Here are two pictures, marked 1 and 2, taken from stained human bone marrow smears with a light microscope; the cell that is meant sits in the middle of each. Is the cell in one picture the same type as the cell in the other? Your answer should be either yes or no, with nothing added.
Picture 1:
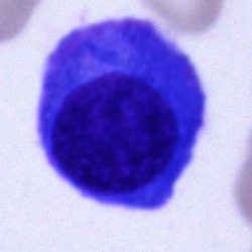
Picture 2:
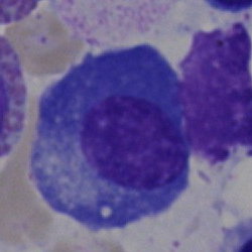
yes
